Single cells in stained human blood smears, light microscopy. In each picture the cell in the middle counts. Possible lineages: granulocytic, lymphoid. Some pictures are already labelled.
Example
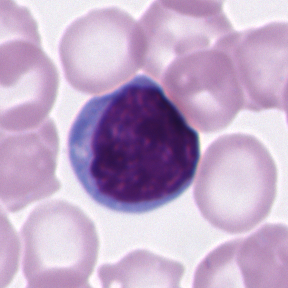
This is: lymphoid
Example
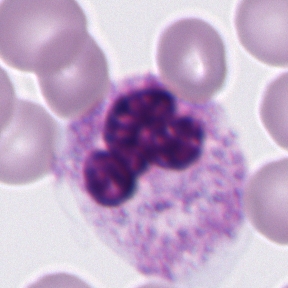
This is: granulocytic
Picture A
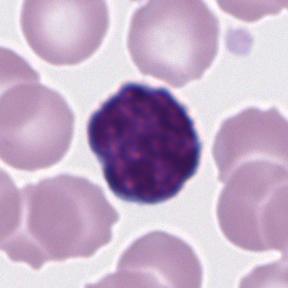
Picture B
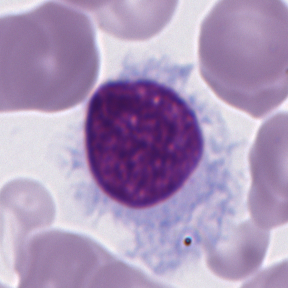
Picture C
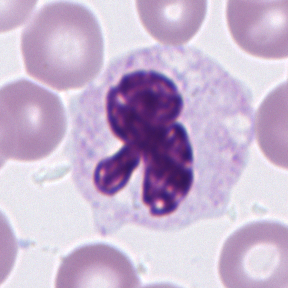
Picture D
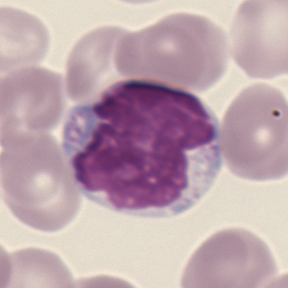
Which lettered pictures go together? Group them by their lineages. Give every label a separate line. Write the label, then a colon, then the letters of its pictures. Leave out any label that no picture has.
granulocytic: C
lymphoid: A, B, D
